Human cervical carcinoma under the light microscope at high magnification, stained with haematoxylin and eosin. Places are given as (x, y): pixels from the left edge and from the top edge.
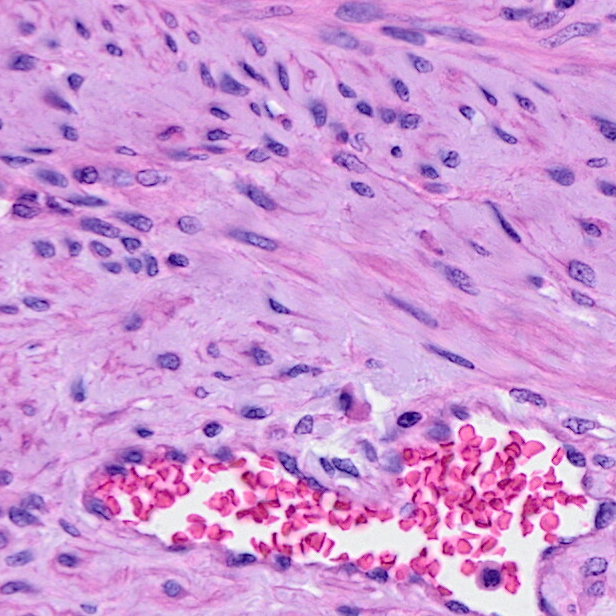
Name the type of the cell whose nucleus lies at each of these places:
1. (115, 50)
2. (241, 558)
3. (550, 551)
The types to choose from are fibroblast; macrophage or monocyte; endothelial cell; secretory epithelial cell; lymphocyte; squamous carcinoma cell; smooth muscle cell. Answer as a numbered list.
1. smooth muscle cell
2. endothelial cell
3. endothelial cell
